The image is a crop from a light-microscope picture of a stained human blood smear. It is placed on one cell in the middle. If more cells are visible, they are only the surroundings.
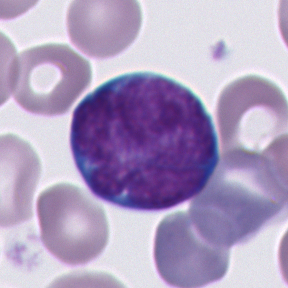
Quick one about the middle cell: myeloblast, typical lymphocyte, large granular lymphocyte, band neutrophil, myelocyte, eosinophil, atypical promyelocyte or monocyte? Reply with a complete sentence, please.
The middle of this crop holds a myeloblast.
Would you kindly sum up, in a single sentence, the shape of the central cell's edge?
Expected answer: a smooth cell outline without projections of any sort.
